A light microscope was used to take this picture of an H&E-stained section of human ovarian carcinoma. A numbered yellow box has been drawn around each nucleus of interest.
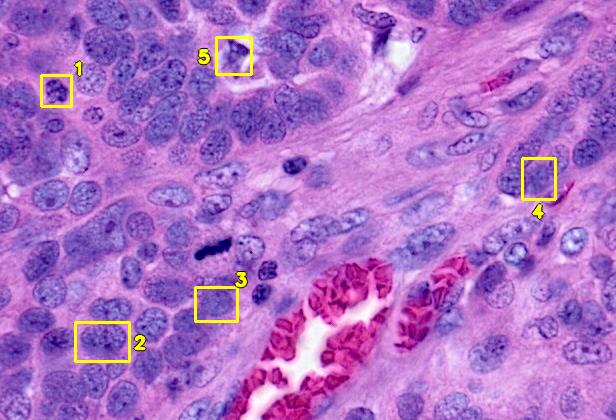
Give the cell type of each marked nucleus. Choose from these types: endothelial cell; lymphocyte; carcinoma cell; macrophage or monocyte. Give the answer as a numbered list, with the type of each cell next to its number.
1. lymphocyte
2. carcinoma cell
3. carcinoma cell
4. carcinoma cell
5. macrophage or monocyte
